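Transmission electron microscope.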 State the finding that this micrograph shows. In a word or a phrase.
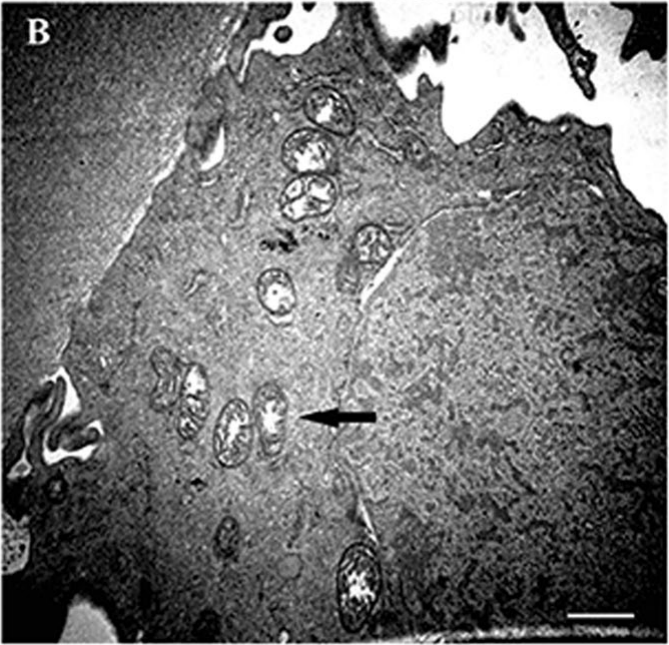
Enlarged and filled with vacuoles.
